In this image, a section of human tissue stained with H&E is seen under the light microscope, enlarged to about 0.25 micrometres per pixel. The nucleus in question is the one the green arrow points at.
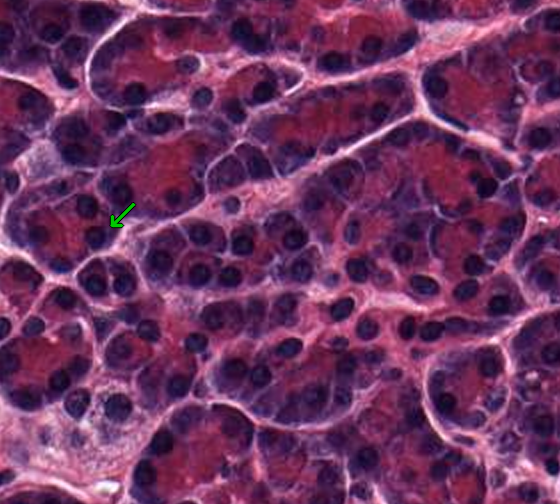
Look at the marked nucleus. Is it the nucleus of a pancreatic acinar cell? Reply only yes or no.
yes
